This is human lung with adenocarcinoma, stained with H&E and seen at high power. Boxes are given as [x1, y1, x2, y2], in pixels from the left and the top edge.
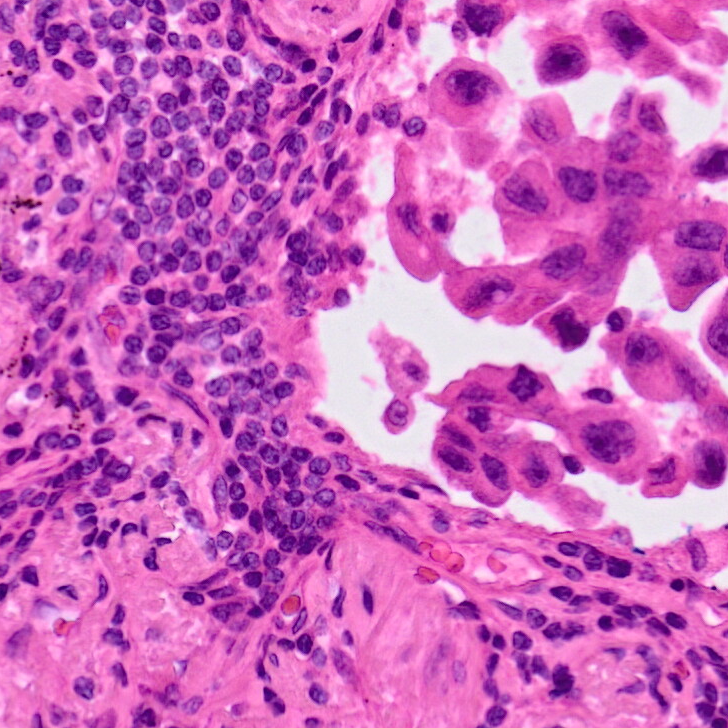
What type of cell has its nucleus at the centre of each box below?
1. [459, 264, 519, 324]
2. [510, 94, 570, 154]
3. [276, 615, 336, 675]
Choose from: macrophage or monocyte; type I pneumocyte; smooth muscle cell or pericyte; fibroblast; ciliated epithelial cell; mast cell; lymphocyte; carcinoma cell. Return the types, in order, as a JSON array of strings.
["carcinoma cell", "carcinoma cell", "lymphocyte"]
